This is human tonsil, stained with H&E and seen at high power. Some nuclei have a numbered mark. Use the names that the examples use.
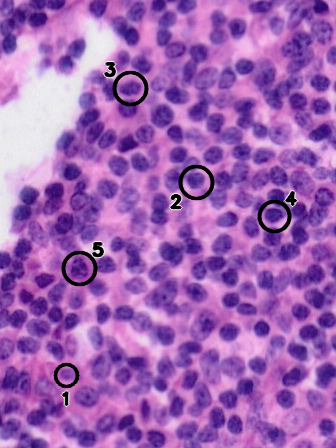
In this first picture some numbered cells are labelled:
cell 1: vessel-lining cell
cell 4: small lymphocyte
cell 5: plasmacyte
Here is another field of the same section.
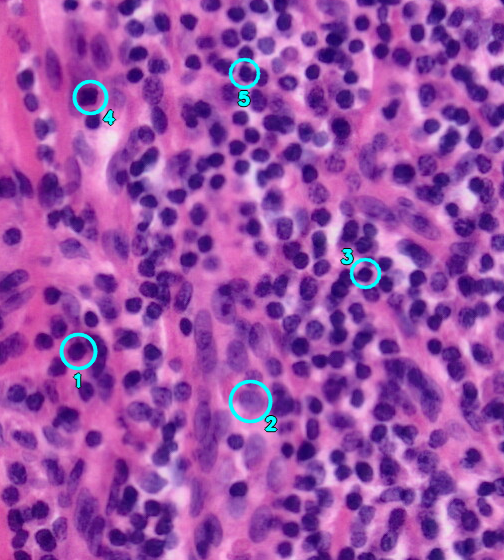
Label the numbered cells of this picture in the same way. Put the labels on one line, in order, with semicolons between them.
plasmacyte; vessel-lining cell; small lymphocyte; vessel-lining cell; small lymphocyte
